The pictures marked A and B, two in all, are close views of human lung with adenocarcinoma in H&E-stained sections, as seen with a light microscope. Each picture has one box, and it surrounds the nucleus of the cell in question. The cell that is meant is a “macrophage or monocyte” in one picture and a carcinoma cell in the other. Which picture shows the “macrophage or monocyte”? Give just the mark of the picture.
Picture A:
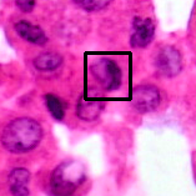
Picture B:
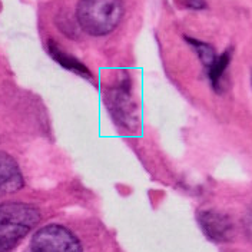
A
